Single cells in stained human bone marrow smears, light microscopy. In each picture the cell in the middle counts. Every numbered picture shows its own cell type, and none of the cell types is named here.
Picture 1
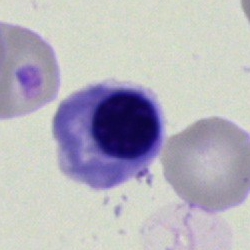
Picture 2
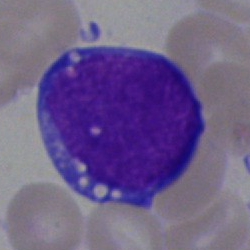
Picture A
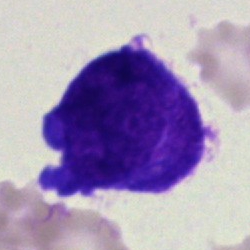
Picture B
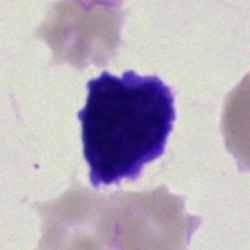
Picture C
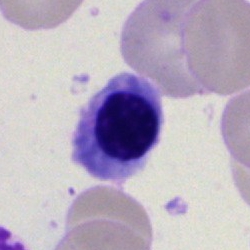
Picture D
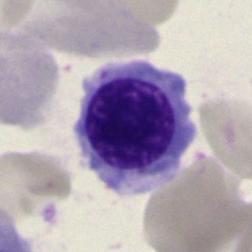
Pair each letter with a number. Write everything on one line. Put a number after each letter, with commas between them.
A 2, B 2, C 1, D 1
